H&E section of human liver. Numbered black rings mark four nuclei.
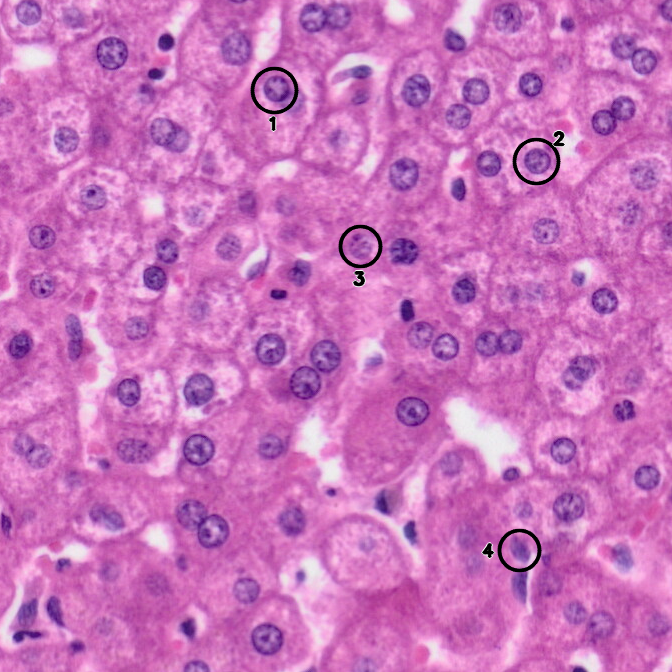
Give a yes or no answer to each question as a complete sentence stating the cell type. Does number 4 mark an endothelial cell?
Yes, the cell identified as number 4 is an endothelial cell.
